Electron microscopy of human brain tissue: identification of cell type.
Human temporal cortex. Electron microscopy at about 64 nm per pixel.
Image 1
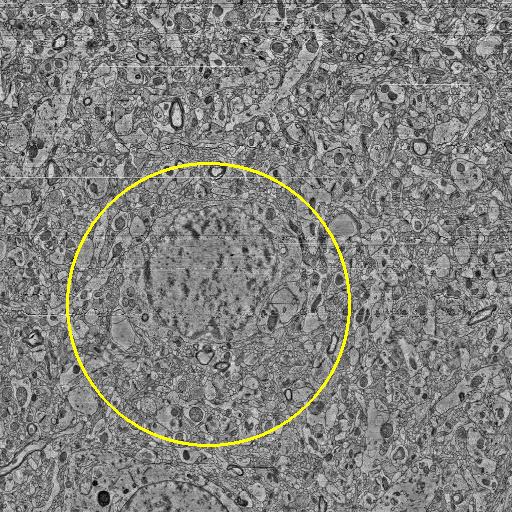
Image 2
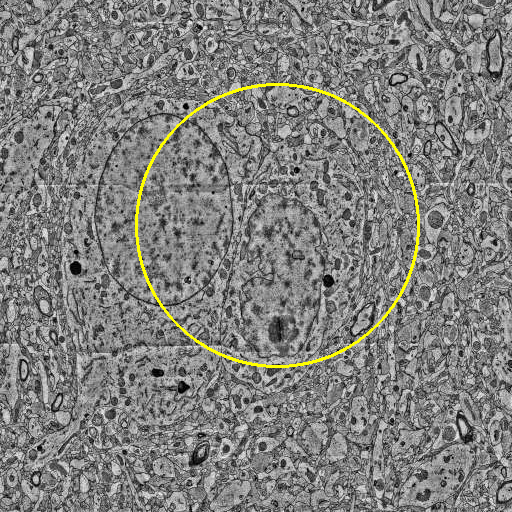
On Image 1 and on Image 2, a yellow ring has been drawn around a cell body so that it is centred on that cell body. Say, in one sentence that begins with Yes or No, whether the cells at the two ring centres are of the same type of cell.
Yes, both cells are the same type of cell.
